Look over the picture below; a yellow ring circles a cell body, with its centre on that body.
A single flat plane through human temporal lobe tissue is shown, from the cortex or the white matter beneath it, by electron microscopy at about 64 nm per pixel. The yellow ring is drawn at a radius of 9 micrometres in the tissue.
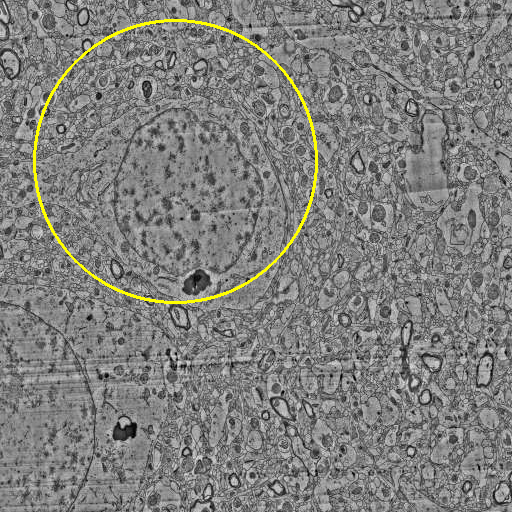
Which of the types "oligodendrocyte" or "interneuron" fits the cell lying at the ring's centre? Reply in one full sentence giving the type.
The picture shows an interneuron at the centre of the yellow ring.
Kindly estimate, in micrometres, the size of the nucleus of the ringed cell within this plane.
The nucleus works out at approximately 11 by 10 micrometres in this plane.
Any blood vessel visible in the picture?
No, a blood vessel is absent from this picture.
